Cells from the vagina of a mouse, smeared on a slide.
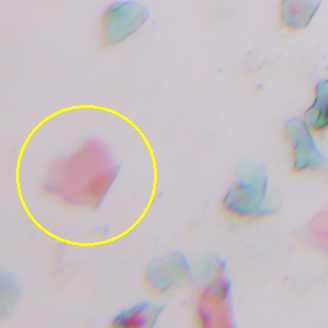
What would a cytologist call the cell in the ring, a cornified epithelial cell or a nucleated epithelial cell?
A cytologist would call it a cornified epithelial cell.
